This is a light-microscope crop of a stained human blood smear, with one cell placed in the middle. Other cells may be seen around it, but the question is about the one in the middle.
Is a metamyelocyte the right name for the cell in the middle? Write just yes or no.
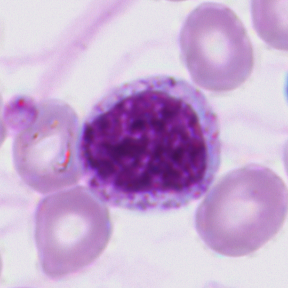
yes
